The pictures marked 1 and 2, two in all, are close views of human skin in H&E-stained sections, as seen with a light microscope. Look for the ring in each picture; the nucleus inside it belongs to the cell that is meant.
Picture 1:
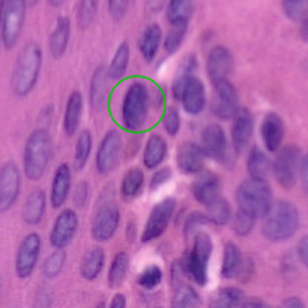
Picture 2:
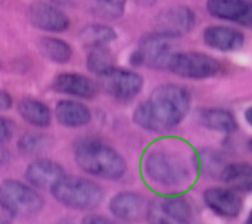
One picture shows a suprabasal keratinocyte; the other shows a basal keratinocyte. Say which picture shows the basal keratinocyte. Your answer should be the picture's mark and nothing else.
1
